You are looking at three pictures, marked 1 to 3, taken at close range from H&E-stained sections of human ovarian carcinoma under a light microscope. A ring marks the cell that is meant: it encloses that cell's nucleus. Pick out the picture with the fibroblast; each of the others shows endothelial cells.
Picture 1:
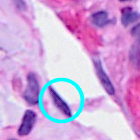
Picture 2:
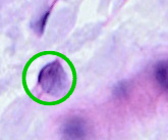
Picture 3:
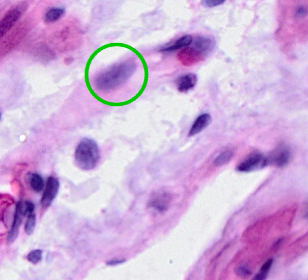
2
